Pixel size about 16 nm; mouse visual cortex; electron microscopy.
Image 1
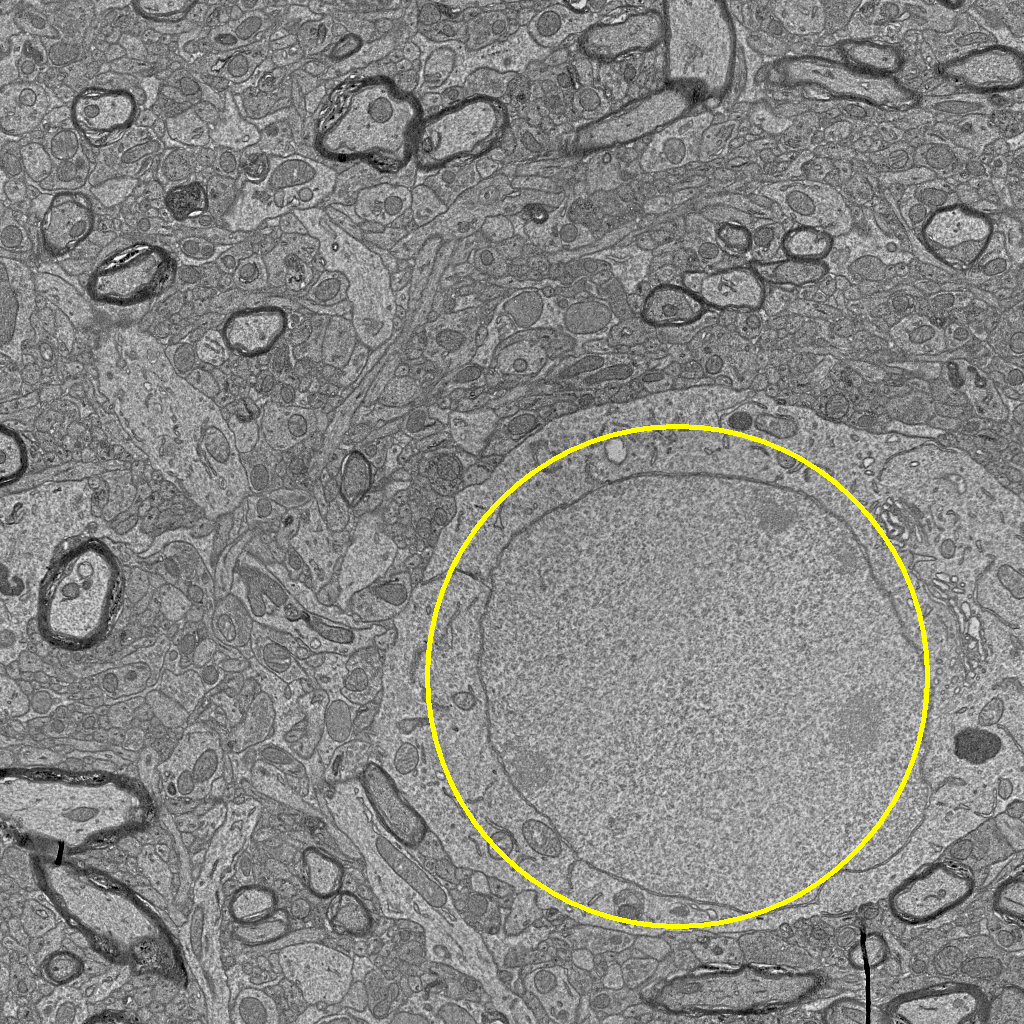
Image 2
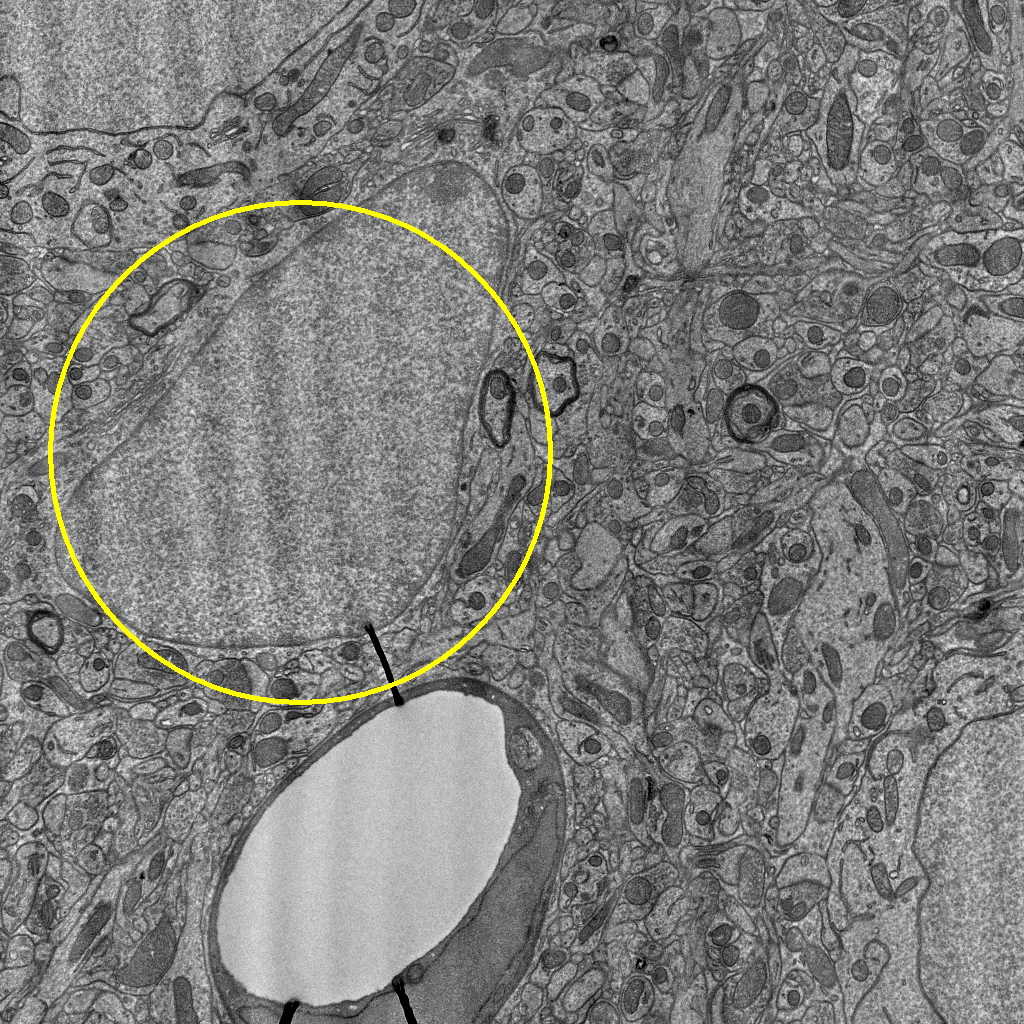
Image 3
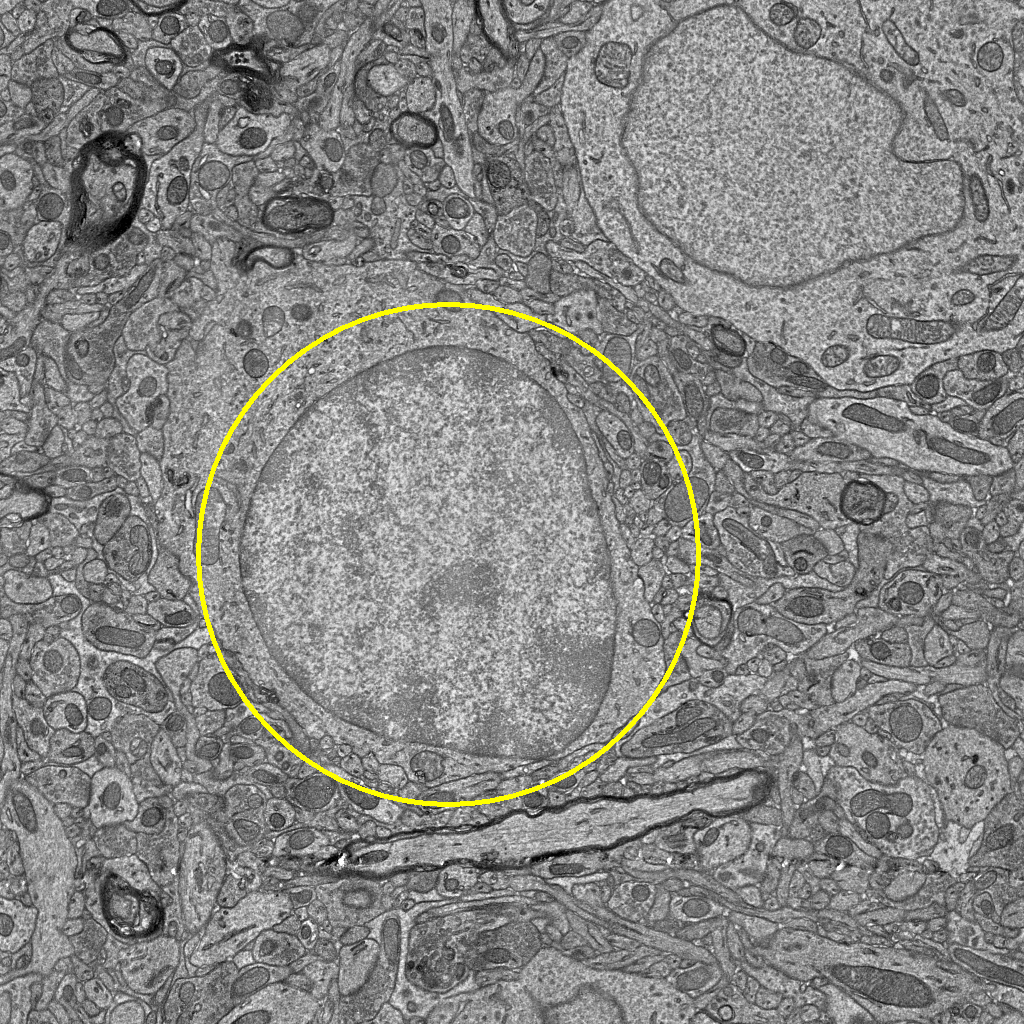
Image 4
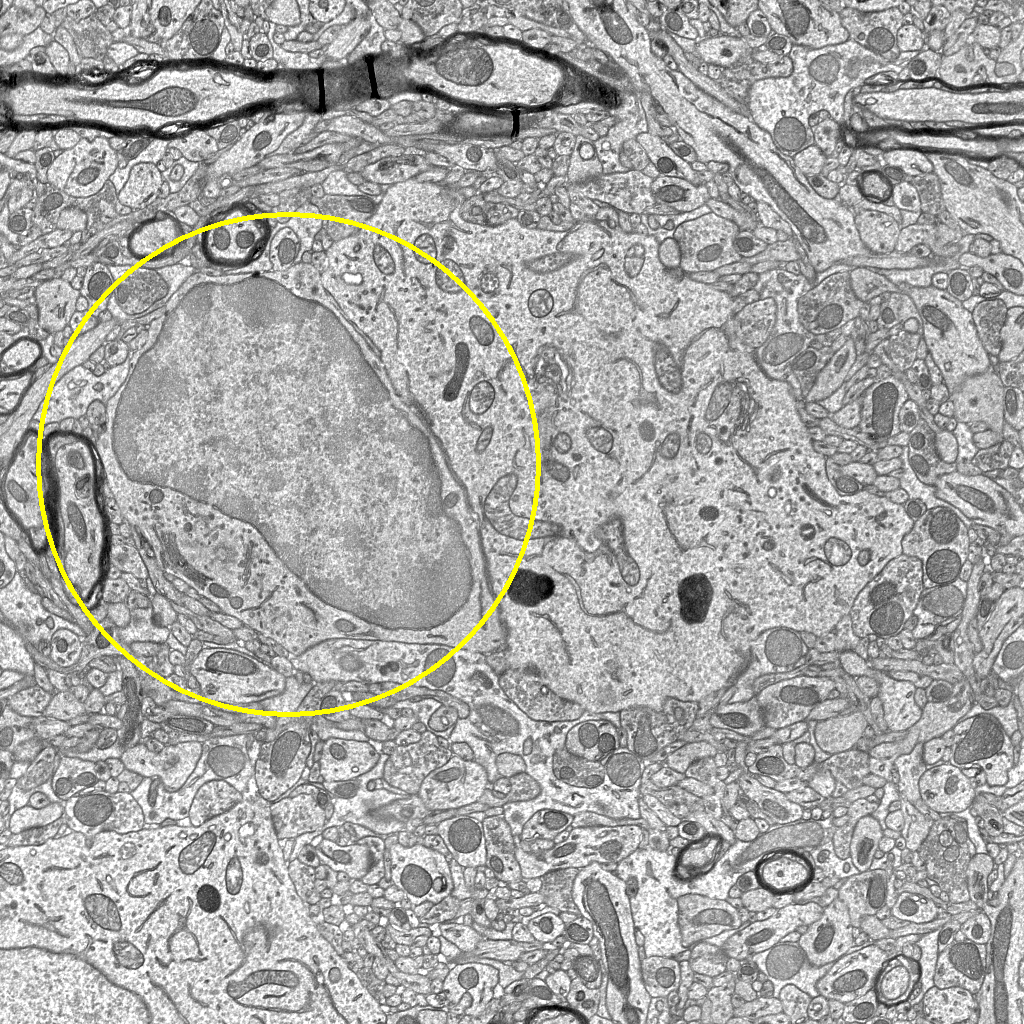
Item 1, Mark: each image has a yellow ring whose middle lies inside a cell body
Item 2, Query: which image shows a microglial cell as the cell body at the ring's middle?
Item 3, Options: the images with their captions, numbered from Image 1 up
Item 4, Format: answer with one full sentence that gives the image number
My answer is image 4, where the cell lying under the ring's middle fits.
